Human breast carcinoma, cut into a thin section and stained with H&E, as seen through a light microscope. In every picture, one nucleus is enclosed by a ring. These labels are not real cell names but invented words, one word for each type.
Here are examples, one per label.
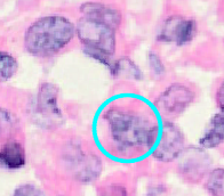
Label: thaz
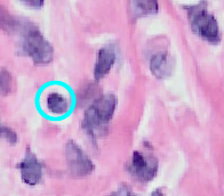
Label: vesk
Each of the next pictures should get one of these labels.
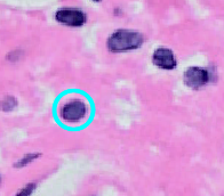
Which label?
vesk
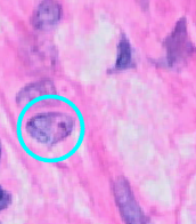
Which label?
thaz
